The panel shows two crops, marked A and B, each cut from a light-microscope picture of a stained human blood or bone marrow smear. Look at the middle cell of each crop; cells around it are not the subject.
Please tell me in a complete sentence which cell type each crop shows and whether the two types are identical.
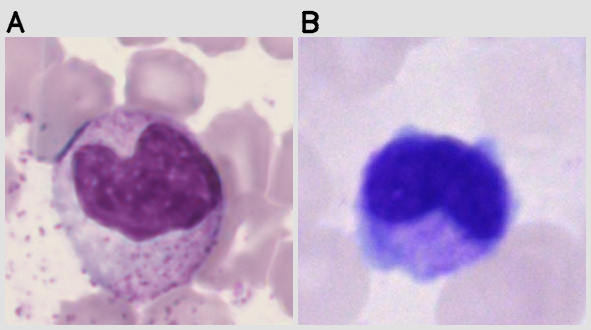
Yes, the two crops show metamyelocytes, both of them.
